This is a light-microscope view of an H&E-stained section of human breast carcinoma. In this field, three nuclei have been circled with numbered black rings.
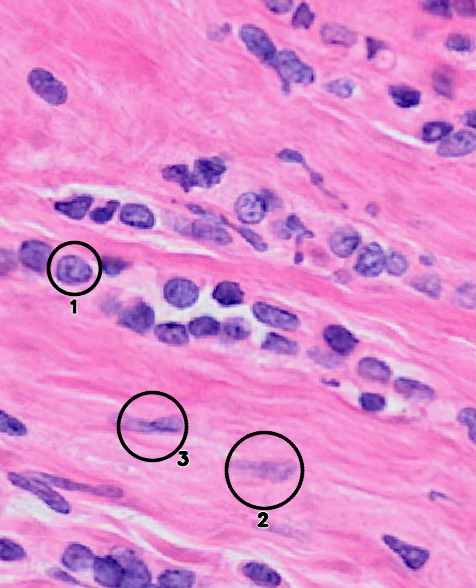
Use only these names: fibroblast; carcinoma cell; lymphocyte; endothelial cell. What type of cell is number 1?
carcinoma cell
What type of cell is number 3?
fibroblast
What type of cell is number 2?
fibroblast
